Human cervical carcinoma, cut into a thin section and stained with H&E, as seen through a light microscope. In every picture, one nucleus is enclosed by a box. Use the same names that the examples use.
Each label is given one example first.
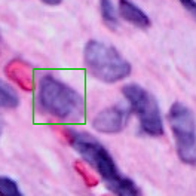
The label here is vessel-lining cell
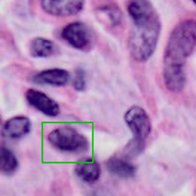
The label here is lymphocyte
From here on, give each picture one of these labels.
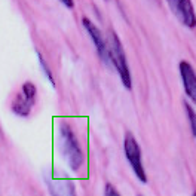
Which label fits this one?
vessel-lining cell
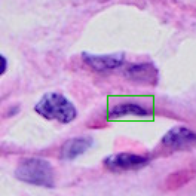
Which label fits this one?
vessel-lining cell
